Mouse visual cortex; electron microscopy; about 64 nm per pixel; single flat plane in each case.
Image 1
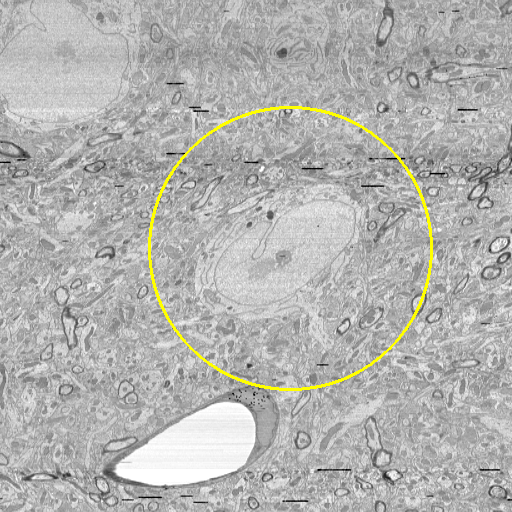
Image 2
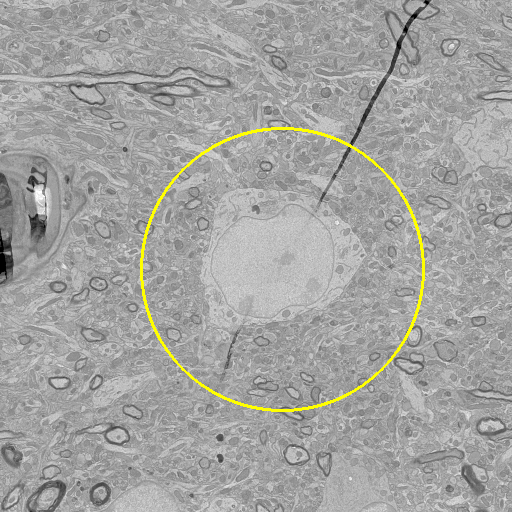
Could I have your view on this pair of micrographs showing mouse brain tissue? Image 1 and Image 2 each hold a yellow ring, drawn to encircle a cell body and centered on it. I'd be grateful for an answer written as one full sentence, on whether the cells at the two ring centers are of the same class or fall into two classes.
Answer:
The cells at the centers of the two rings fall into two classes.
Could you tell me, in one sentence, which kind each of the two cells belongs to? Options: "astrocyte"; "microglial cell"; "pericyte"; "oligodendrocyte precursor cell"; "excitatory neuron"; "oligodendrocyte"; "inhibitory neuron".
At the centre of the first ring sits an inhibitory neuron, and at the centre of the second sits an excitatory neuron.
